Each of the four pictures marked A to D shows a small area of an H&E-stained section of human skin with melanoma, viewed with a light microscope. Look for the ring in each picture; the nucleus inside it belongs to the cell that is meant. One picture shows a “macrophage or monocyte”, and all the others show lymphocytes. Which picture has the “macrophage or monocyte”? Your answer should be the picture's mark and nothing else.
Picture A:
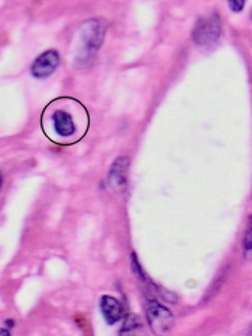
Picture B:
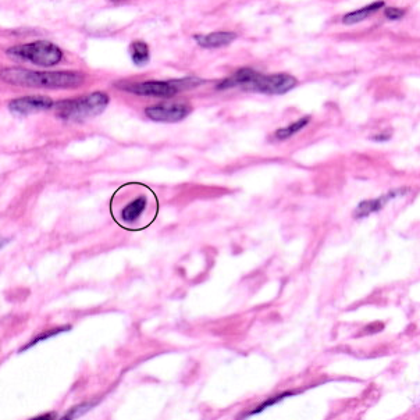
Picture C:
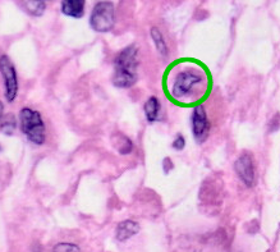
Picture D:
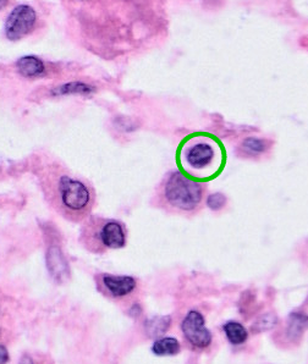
C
